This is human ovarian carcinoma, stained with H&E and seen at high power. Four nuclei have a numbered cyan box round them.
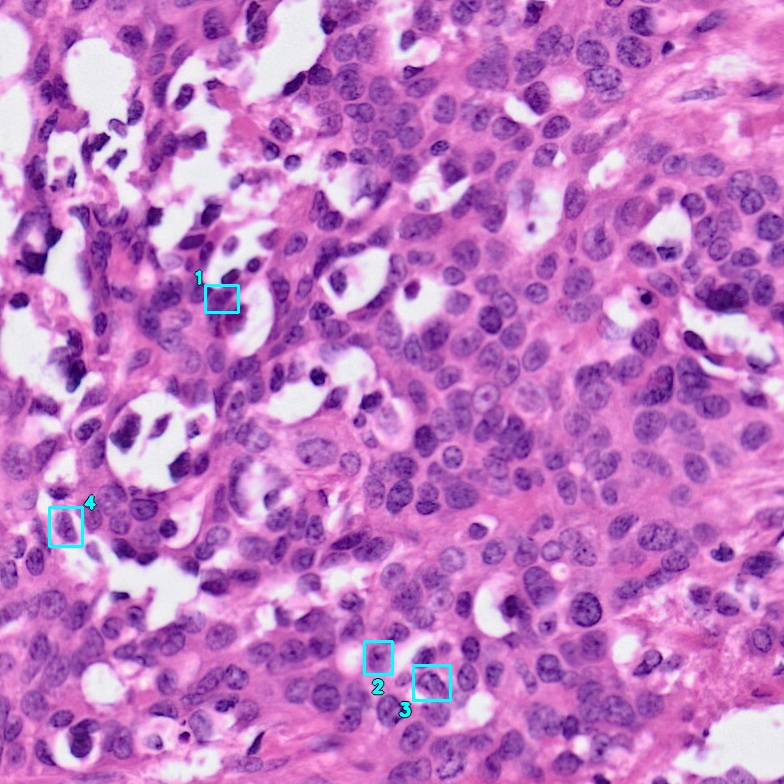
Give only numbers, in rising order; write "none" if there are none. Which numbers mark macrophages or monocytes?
3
